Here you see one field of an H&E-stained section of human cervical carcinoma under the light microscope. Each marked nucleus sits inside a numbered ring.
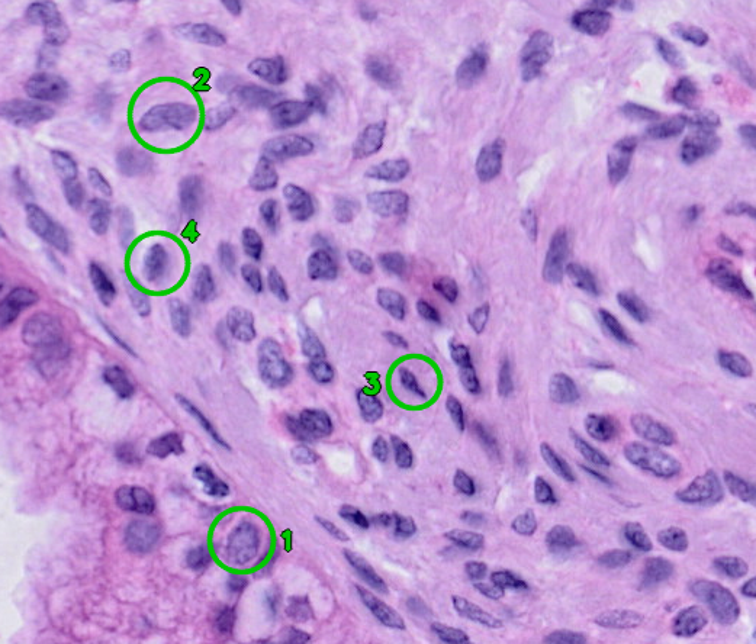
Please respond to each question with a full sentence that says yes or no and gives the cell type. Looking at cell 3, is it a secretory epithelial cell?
No, cell 3 counts as a fibroblast rather than as a secretory epithelial cell.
